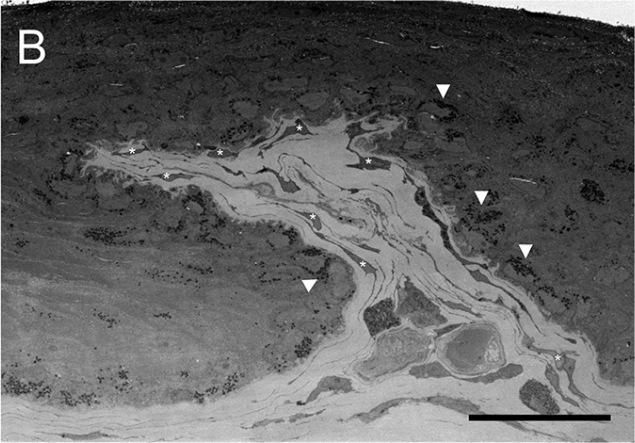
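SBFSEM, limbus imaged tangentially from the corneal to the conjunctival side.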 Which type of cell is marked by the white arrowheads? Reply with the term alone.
melanocytes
